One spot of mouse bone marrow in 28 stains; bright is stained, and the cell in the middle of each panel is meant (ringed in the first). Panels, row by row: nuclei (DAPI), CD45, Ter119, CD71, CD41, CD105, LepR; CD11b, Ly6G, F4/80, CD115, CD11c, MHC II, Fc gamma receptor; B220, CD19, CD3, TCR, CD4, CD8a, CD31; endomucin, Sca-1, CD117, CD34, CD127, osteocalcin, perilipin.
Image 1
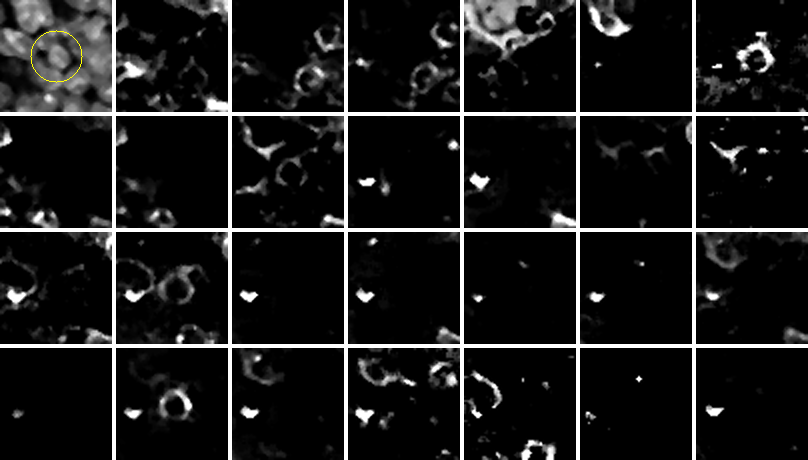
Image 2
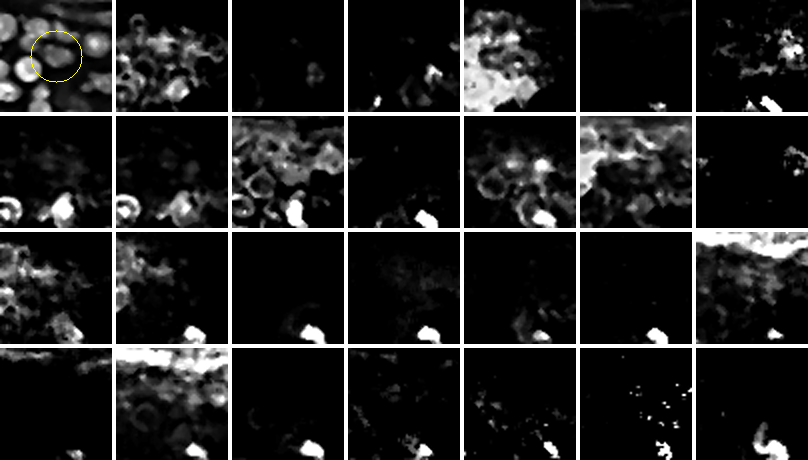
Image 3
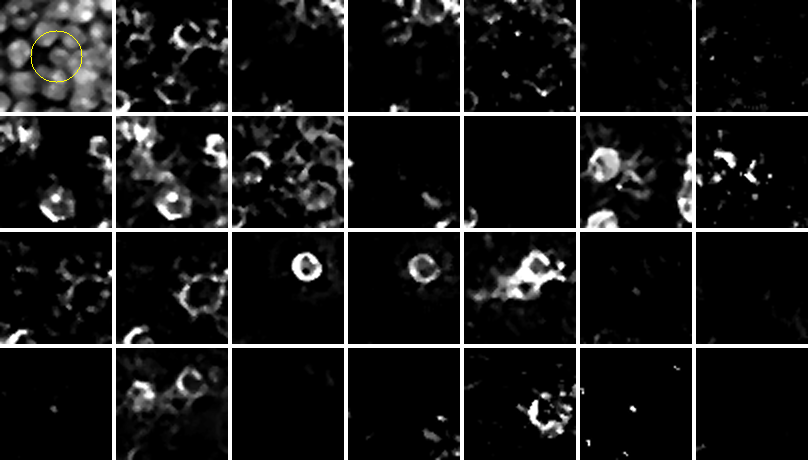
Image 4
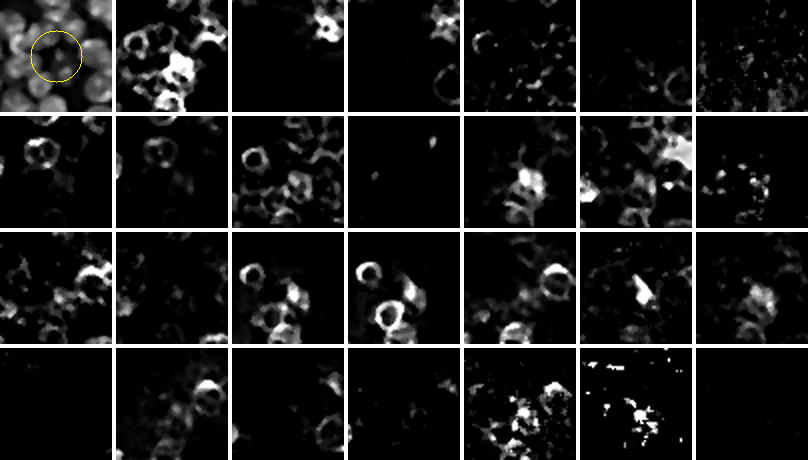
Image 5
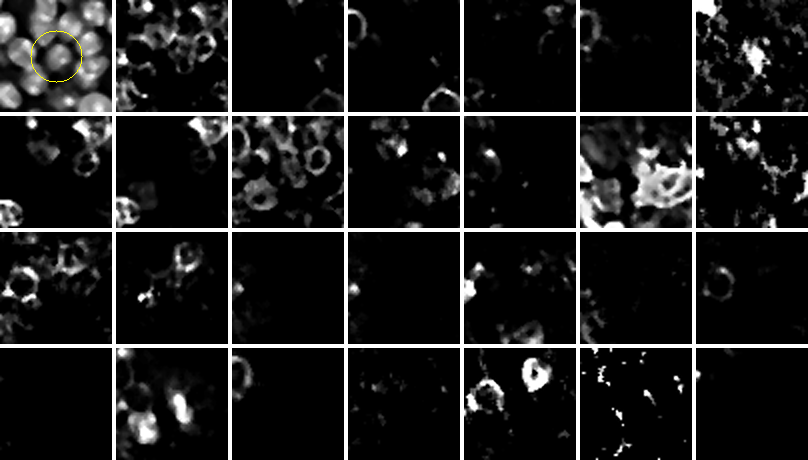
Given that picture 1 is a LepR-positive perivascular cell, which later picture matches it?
5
